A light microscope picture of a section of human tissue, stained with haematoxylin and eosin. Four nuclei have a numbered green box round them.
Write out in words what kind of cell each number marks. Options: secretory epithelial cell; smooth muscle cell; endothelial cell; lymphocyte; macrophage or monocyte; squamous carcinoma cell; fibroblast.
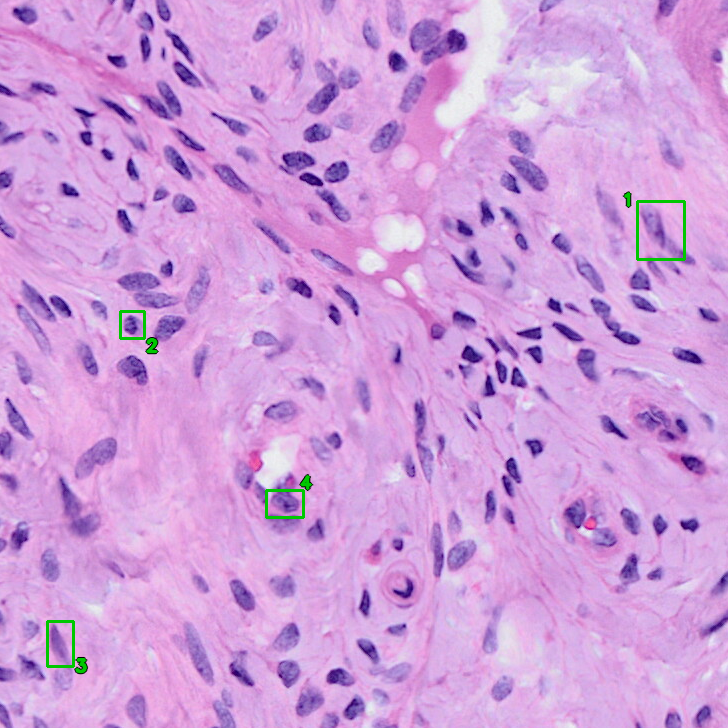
Cells 1, 2 and 3 are fibroblasts. Cell 4 is an endothelial cell.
